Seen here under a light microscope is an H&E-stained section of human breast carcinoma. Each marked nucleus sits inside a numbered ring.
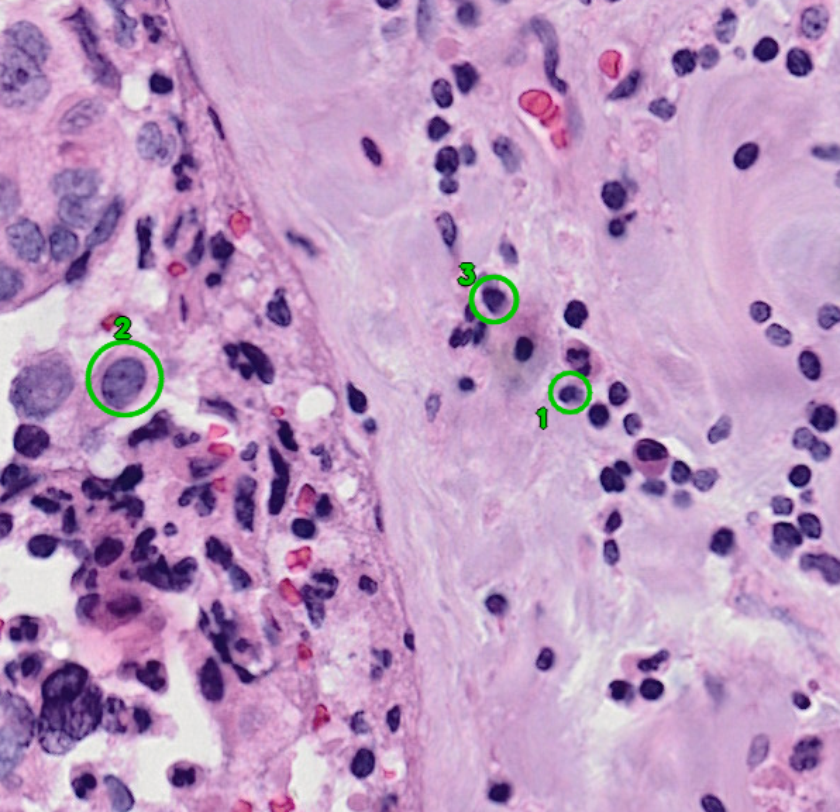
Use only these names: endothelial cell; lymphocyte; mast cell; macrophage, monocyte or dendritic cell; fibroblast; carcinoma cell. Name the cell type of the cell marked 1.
lymphocyte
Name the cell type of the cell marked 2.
carcinoma cell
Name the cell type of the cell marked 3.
lymphocyte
